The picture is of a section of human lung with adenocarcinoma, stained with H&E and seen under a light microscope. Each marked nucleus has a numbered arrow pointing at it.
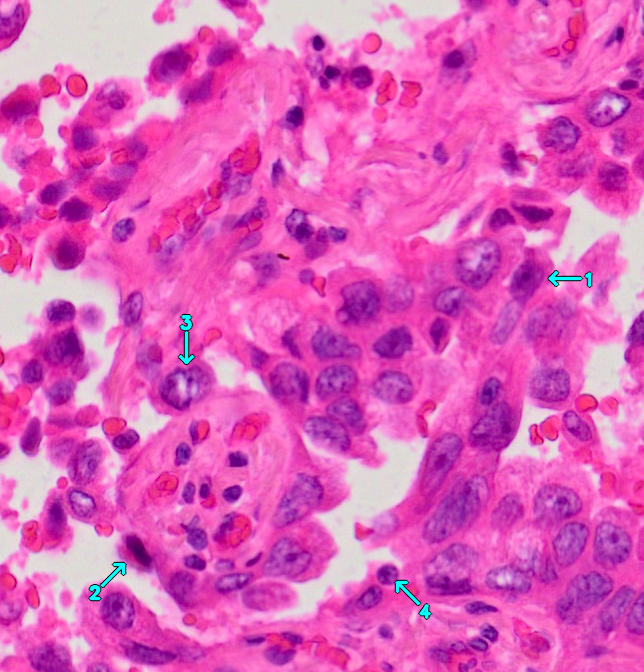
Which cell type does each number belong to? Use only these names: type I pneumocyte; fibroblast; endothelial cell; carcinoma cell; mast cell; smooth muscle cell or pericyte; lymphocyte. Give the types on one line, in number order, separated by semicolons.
carcinoma cell; carcinoma cell; carcinoma cell; lymphocyte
